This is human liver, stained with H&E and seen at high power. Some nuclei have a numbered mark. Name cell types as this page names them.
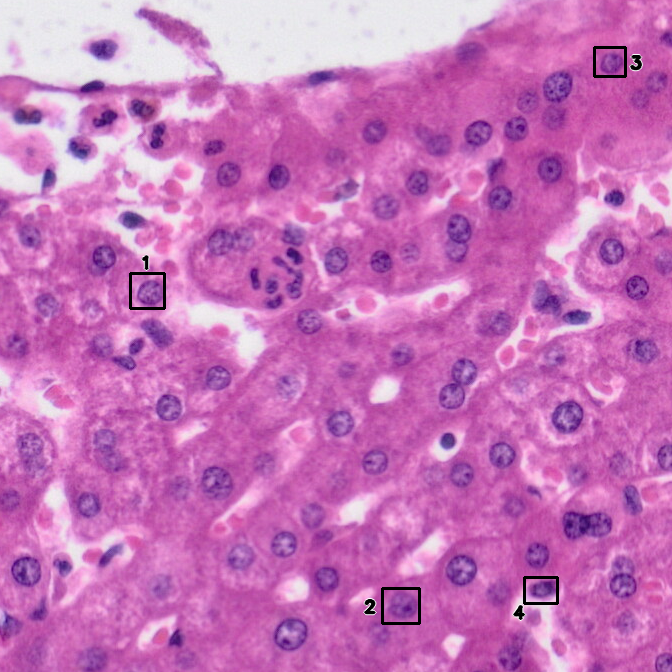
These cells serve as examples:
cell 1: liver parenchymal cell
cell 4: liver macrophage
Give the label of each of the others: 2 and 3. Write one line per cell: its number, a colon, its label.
2: liver parenchymal cell
3: liver parenchymal cell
